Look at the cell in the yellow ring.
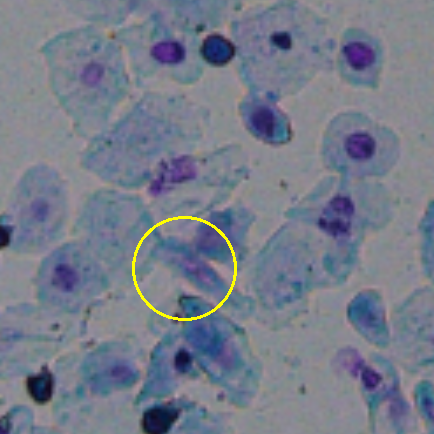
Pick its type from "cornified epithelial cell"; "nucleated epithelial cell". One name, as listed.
cornified epithelial cell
